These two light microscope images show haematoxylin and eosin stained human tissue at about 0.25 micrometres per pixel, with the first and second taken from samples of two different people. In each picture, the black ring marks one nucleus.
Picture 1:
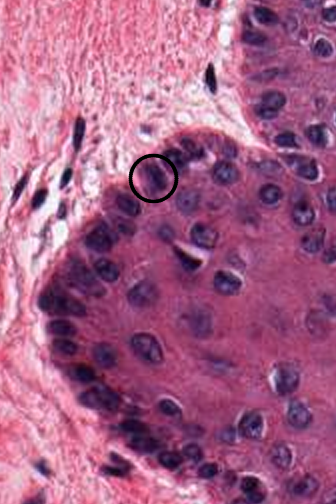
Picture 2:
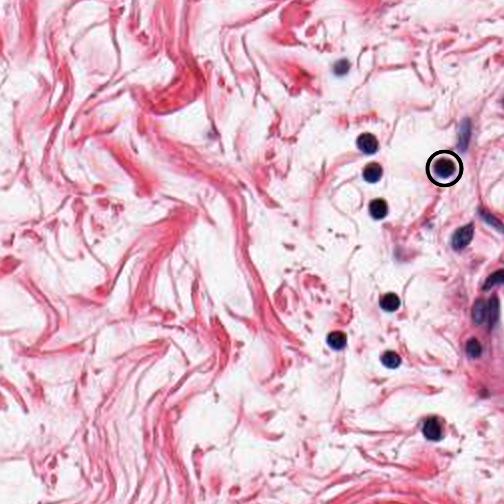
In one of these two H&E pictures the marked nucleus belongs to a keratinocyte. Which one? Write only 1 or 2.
1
